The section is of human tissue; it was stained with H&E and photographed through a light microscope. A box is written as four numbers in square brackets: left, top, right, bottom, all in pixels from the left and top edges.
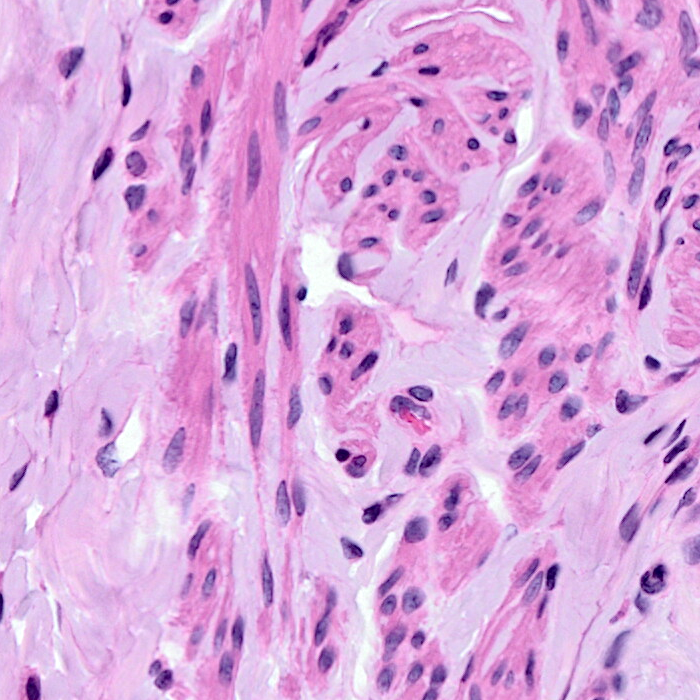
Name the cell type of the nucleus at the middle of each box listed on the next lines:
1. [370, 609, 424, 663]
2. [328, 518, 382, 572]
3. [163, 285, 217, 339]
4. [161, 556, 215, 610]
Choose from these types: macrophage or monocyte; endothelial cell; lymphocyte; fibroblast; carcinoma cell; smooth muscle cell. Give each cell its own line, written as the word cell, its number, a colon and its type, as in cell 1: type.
cell 1: smooth muscle cell
cell 2: fibroblast
cell 3: smooth muscle cell
cell 4: smooth muscle cell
